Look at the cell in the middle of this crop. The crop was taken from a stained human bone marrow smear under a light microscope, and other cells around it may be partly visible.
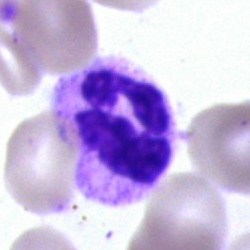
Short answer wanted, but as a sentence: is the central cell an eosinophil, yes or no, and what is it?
No, the centered cell is a segmented neutrophil and not an eosinophil at all.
